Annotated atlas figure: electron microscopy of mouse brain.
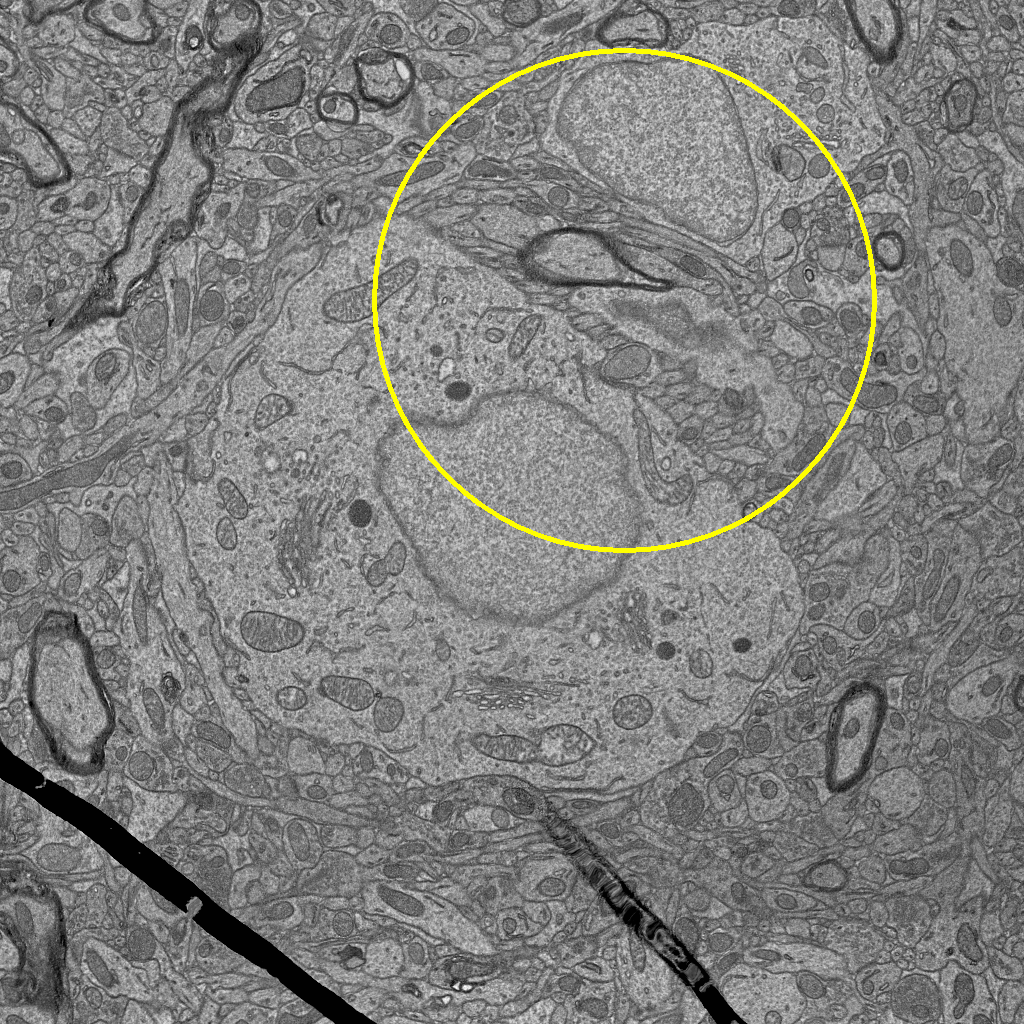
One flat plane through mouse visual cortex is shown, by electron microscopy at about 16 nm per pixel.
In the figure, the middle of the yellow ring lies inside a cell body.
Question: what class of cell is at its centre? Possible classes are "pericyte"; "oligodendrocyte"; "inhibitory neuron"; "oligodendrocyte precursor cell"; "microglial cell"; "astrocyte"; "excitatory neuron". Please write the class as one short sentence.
The yellow ring's centre lies in an oligodendrocyte precursor cell.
